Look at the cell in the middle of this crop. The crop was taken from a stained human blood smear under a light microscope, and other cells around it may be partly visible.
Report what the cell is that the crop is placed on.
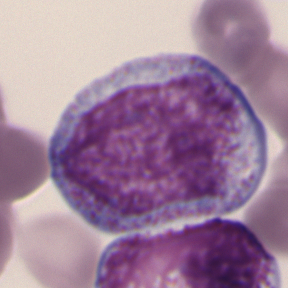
promyelocyte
